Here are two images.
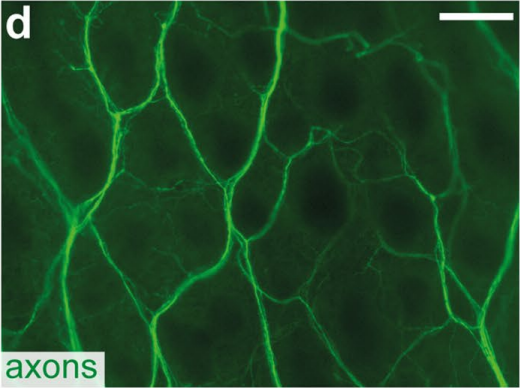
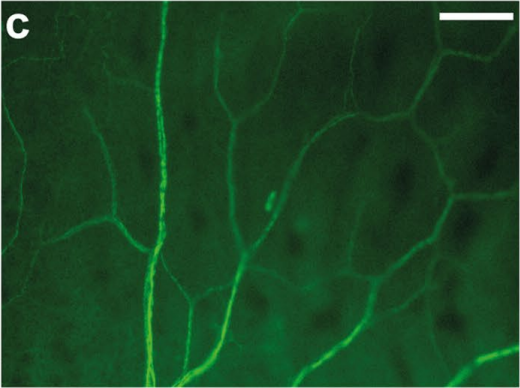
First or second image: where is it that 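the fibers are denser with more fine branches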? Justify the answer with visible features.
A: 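The first image. First image: many bright fibers form a close network with numerous fine side branches. Second image: fewer, fainter fibers form a sparse network with large empty spaces.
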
